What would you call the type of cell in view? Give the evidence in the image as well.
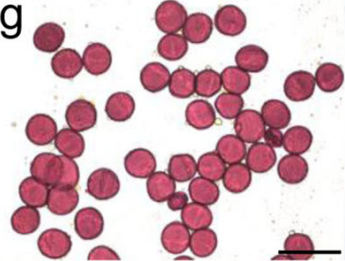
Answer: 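Many round grains of nearly uniform size. Each grain is stained a deep reddish-purple. Grains lie singly or in loose clusters on a pale background. That points to this answer: pollen.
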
